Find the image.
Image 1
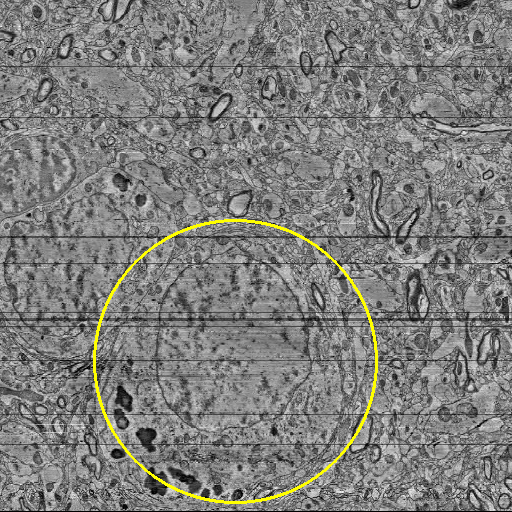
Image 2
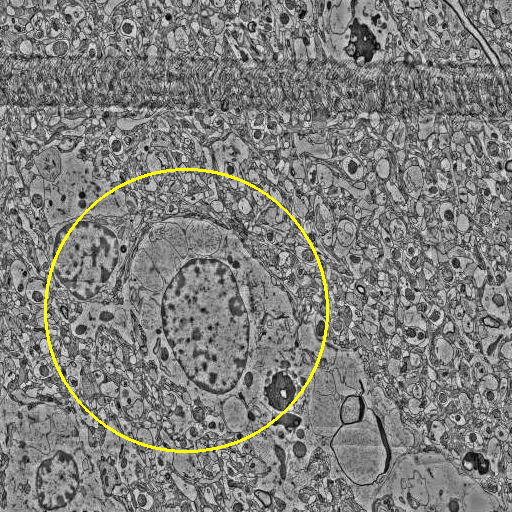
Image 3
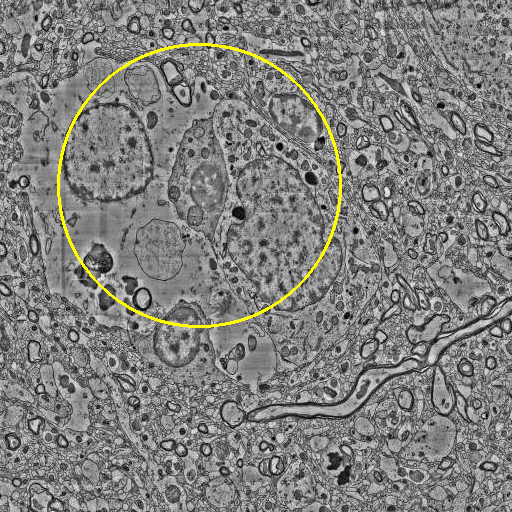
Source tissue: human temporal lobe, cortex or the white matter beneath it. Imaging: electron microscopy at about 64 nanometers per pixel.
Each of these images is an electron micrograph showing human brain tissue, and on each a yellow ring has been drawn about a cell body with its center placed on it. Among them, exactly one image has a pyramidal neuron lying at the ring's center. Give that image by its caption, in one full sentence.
The ring in Image 1 is centered on the cell the question describes.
